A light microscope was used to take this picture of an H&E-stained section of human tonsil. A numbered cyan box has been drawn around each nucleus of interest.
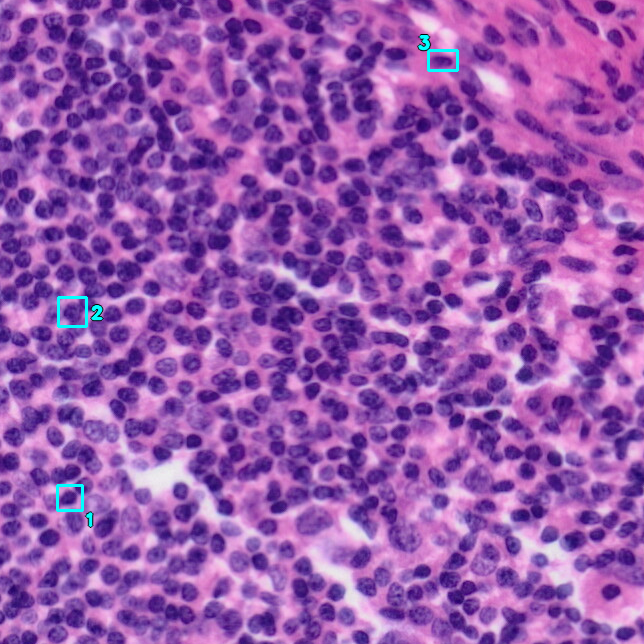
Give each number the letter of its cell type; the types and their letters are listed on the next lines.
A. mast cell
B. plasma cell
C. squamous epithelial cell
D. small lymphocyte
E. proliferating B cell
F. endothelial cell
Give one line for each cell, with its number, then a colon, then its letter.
1: D
2: D
3: F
